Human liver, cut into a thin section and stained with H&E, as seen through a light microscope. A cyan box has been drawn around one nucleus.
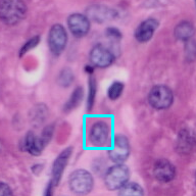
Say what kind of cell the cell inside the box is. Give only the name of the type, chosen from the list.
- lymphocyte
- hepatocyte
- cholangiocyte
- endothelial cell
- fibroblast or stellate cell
cholangiocyte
